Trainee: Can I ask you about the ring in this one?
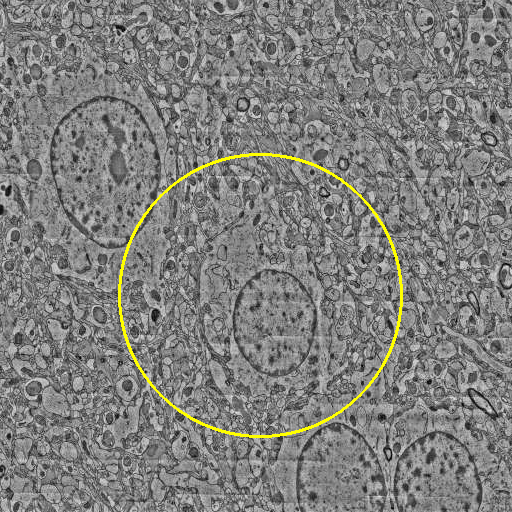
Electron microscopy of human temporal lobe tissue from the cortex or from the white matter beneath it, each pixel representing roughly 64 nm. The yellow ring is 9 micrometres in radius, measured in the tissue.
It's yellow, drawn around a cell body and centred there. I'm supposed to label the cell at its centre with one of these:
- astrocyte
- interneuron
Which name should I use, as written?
astrocyte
